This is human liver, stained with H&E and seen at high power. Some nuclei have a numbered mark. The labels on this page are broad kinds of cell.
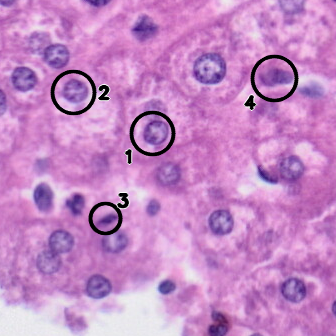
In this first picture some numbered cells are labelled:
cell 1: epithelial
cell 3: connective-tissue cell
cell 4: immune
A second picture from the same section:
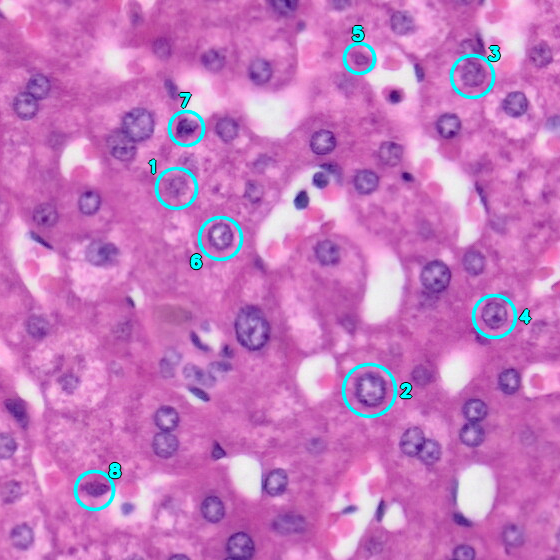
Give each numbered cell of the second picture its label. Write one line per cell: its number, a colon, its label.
1: epithelial
2: epithelial
3: epithelial
4: epithelial
5: immune
6: epithelial
7: connective-tissue cell
8: connective-tissue cell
